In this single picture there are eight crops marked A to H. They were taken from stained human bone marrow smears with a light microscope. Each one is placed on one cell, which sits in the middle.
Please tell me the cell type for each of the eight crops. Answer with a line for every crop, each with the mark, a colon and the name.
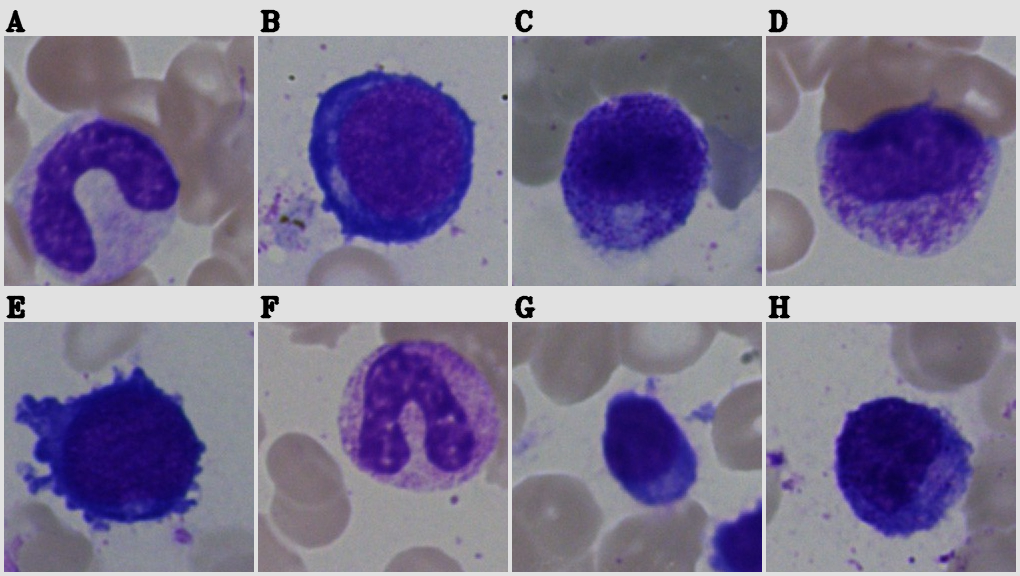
A: band neutrophil
B: proerythroblast
C: promyelocyte
D: myelocyte
E: proerythroblast
F: band neutrophil
G: plasma cell
H: promyelocyte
